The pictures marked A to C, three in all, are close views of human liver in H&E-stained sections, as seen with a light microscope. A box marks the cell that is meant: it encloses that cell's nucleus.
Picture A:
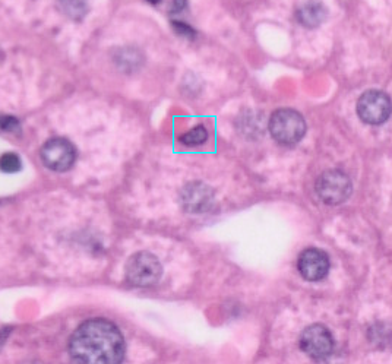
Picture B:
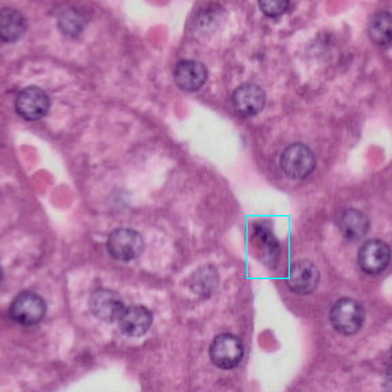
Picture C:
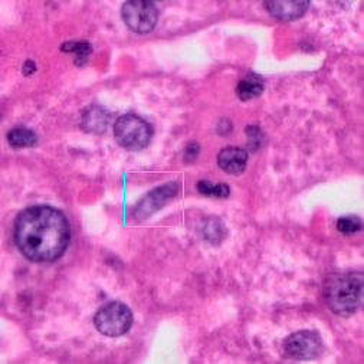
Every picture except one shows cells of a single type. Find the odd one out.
A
